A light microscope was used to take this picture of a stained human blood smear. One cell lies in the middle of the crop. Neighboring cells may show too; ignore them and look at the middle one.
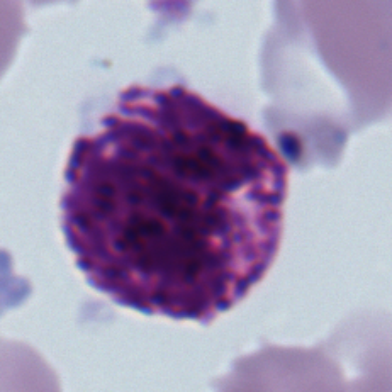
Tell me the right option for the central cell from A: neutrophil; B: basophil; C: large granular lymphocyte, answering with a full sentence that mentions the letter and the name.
For this crop, option B is right, the centered cell being a basophil.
